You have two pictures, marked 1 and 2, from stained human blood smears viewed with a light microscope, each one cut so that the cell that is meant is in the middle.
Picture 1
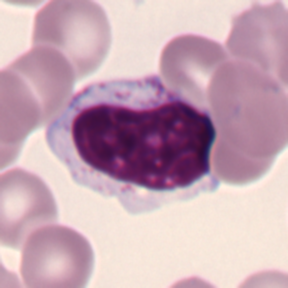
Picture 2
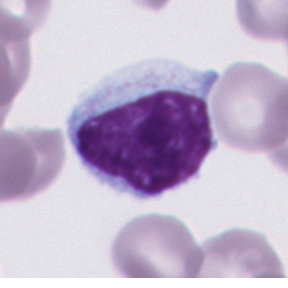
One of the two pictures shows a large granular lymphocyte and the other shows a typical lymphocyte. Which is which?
1: large granular lymphocyte
2: typical lymphocyte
